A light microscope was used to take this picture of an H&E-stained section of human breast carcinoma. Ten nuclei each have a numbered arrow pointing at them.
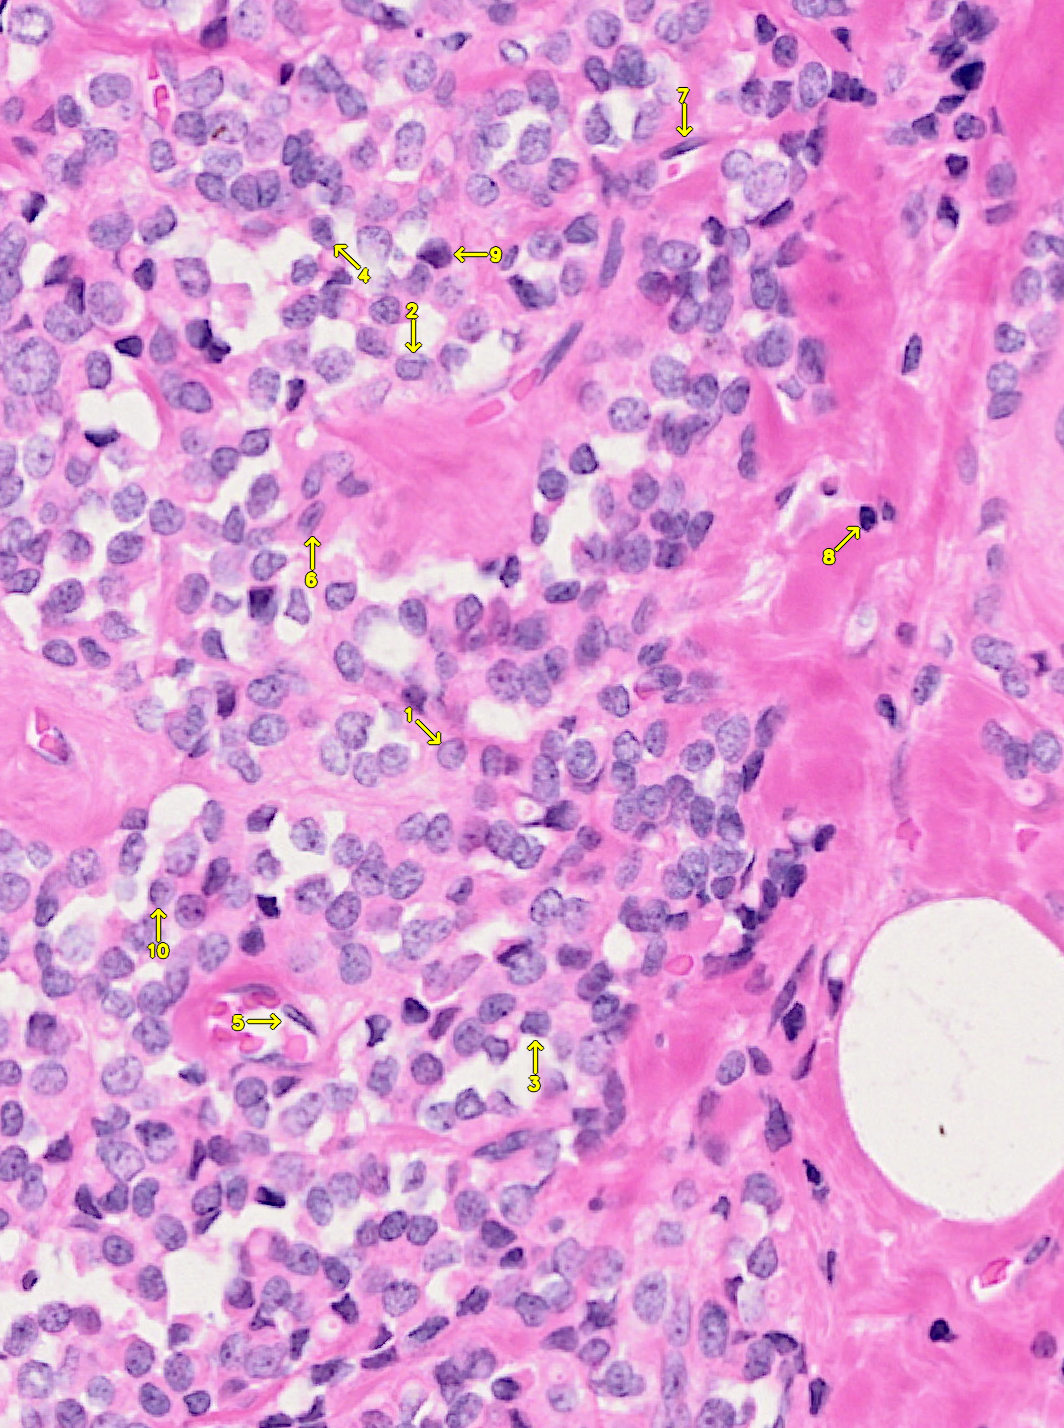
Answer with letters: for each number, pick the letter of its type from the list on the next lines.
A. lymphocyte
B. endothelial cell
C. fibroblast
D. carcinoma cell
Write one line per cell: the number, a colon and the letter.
1: D
2: D
3: D
4: D
5: B
6: B
7: B
8: A
9: D
10: D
